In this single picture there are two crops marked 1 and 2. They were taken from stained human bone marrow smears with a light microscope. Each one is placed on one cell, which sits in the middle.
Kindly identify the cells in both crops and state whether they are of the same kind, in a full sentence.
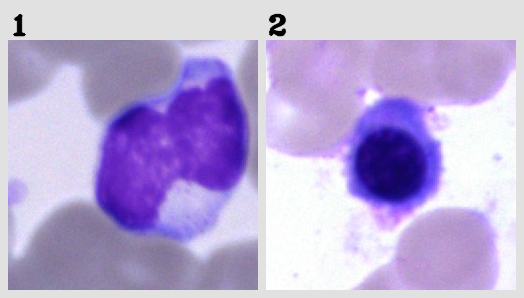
No, in this case crop 1 shows a lymphocyte, and crop 2 shows an erythroblast.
